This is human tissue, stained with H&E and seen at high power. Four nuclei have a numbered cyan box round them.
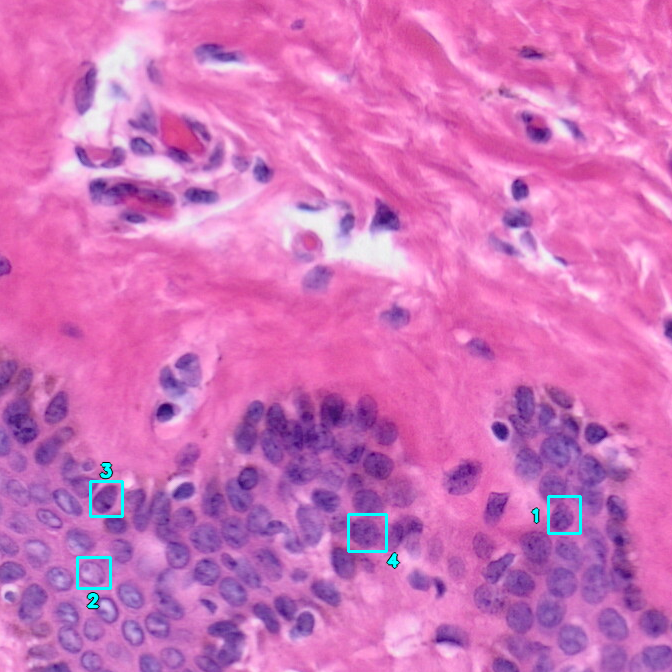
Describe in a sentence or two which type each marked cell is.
Cell 1 is a basal keratinocyte, cell 2 is a suprabasal keratinocyte, cell 3 is a basal keratinocyte and cell 4 is a basal keratinocyte.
